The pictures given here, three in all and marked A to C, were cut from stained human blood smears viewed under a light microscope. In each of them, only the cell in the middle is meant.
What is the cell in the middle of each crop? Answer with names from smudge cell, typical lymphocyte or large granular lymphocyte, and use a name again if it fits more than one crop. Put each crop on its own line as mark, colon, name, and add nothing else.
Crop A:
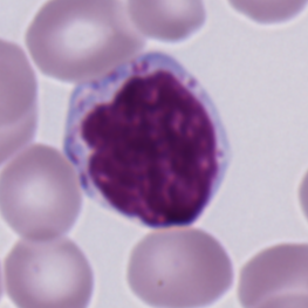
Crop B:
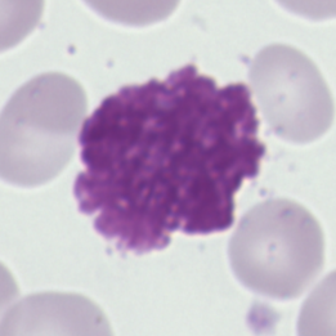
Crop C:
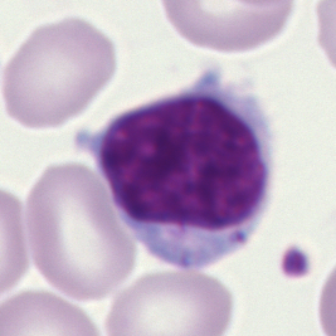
A: large granular lymphocyte
B: smudge cell
C: typical lymphocyte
